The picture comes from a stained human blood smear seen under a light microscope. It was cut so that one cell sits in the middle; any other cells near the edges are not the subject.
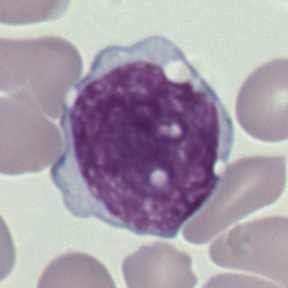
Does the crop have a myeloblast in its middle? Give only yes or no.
yes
